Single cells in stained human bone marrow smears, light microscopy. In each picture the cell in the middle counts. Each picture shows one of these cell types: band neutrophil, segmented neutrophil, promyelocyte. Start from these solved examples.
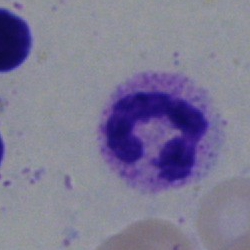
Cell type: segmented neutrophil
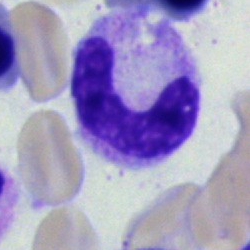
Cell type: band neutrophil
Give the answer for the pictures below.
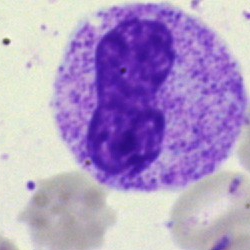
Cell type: band neutrophil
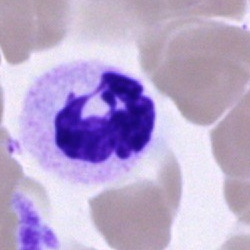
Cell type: segmented neutrophil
